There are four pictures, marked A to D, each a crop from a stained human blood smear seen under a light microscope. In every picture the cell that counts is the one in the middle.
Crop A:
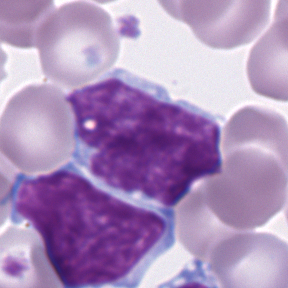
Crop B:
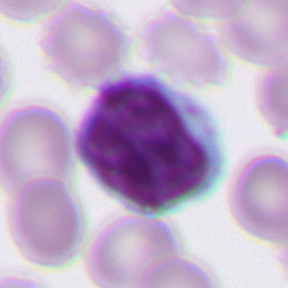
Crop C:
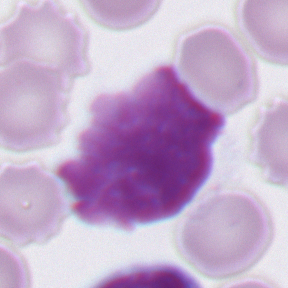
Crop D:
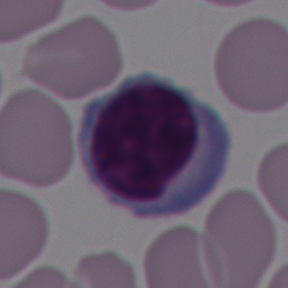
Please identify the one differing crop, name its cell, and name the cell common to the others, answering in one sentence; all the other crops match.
Although the other crops all show typical lymphocytes, crop C shows a smudge cell.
